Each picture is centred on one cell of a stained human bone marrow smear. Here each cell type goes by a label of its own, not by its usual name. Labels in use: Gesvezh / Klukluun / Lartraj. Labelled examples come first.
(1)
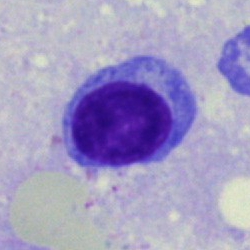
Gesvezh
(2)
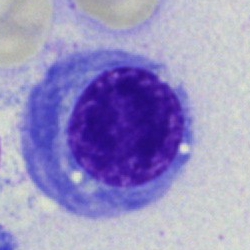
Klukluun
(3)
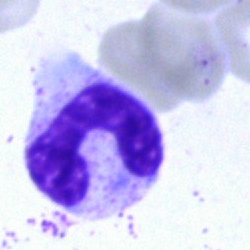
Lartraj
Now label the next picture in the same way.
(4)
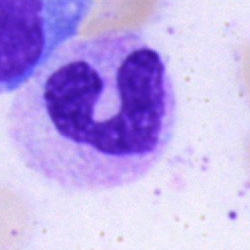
Lartraj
